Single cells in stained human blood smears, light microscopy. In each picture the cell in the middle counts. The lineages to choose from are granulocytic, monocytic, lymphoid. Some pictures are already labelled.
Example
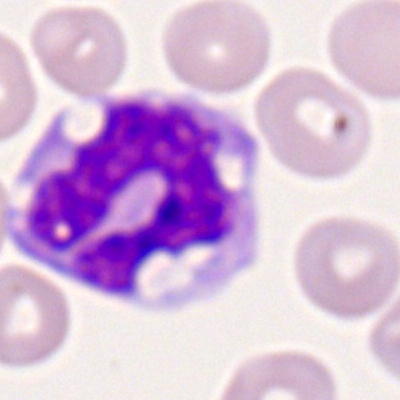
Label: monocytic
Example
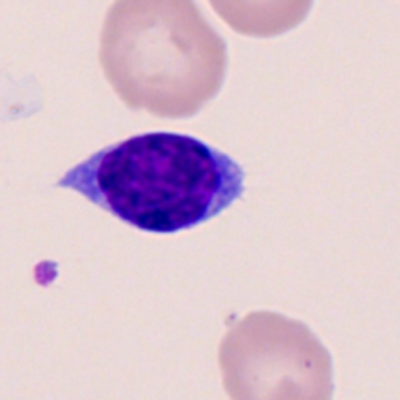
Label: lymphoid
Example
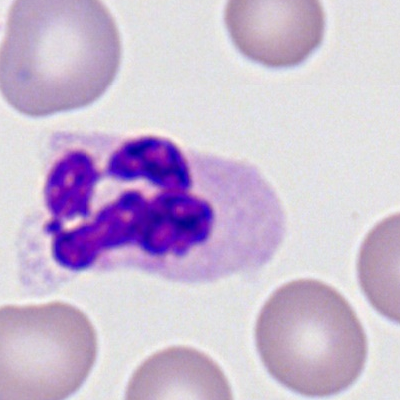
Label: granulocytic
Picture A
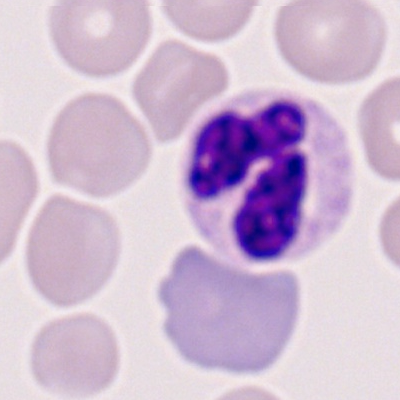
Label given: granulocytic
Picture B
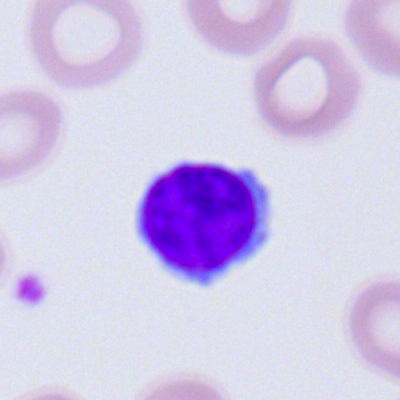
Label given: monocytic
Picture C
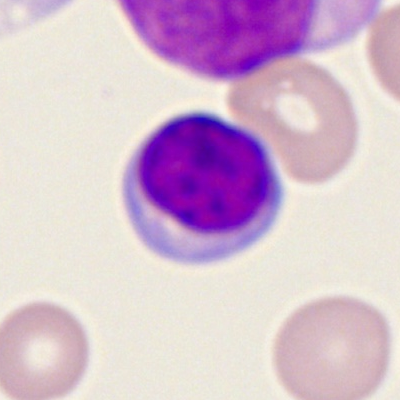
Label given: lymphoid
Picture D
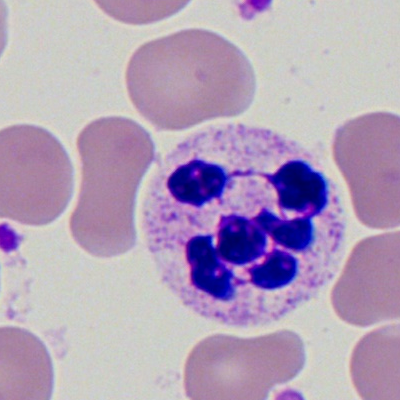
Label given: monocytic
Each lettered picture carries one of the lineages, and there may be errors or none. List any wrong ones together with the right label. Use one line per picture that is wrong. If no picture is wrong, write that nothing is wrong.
B: lymphoid, not monocytic
D: granulocytic, not monocytic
